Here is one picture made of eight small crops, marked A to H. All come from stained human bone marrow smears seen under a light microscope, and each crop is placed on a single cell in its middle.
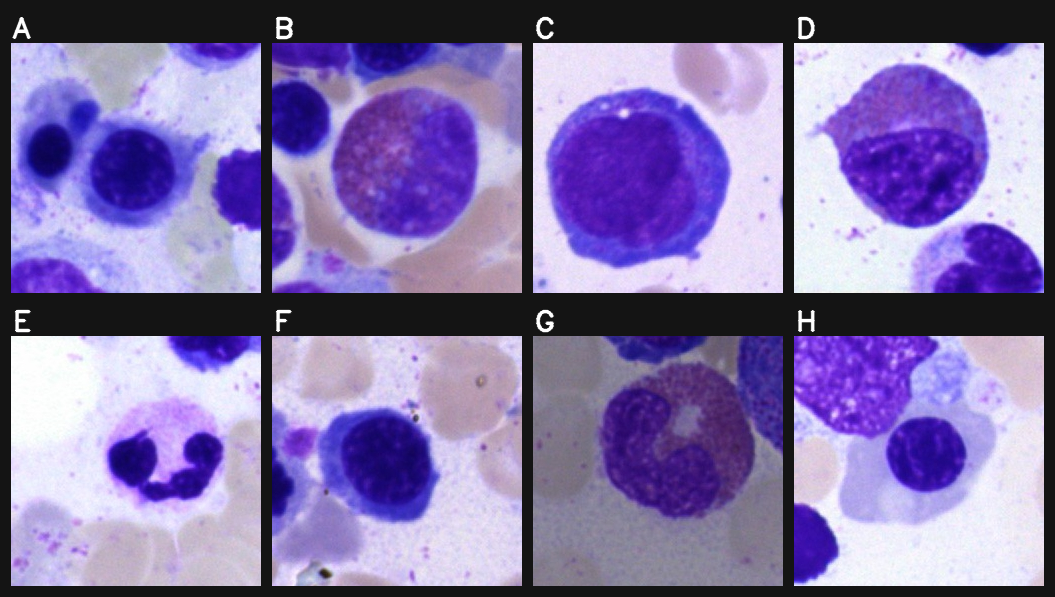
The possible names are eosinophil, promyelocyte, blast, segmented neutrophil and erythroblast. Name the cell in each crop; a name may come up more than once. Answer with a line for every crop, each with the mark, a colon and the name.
A: erythroblast
B: eosinophil
C: blast
D: eosinophil
E: segmented neutrophil
F: erythroblast
G: eosinophil
H: erythroblast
